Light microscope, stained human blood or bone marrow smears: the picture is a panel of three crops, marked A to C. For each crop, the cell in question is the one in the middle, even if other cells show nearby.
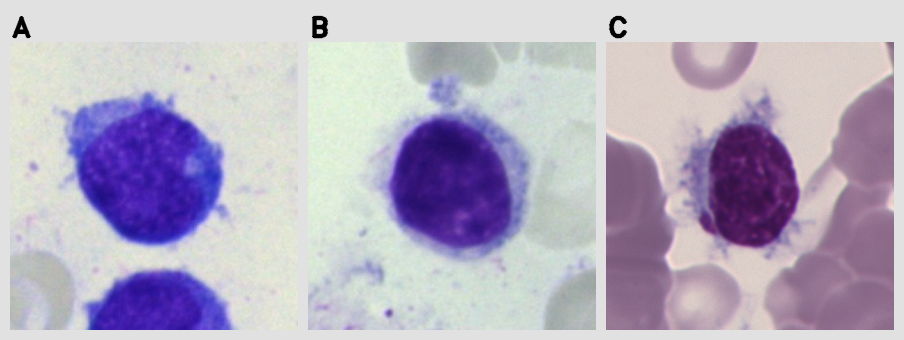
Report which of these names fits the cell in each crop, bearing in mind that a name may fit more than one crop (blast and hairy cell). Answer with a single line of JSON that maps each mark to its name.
{"A": "blast", "B": "hairy cell", "C": "hairy cell"}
